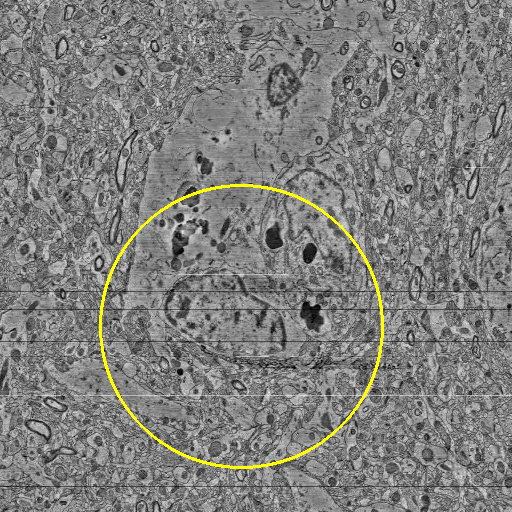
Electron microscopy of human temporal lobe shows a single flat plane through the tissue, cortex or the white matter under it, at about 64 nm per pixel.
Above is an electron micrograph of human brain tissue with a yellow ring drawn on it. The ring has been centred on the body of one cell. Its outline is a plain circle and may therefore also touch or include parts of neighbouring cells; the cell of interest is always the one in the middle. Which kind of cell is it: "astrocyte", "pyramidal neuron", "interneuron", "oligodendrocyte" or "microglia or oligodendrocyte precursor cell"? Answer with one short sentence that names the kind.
The ring's central cell body is that of an astrocyte.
